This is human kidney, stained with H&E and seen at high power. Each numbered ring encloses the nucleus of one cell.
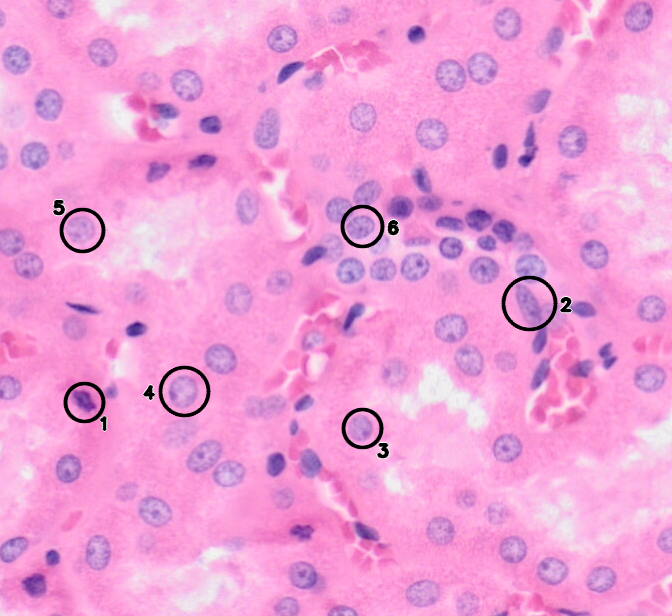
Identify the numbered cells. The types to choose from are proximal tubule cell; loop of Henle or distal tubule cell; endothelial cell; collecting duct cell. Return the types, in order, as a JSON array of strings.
["proximal tubule cell", "collecting duct cell", "proximal tubule cell", "proximal tubule cell", "proximal tubule cell", "collecting duct cell"]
